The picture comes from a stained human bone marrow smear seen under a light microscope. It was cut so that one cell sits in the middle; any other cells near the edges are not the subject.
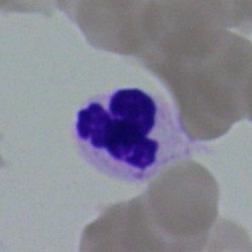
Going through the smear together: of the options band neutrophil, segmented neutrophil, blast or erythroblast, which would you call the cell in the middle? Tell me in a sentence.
The cell that lies at the centre of the crop is a segmented neutrophil.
